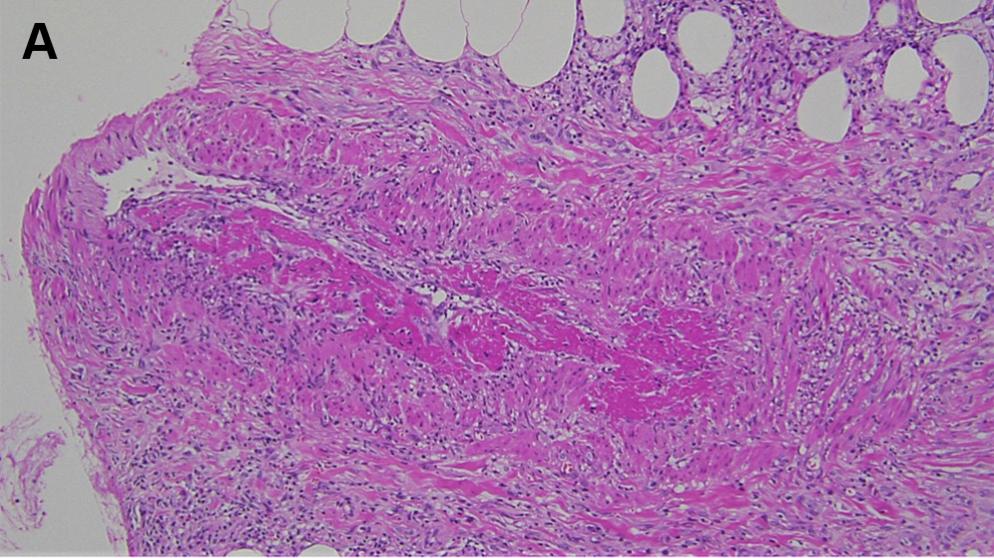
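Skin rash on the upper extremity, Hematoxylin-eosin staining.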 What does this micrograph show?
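Large round empty spaces of fat cells lie along the top, and below them an elongated vessel with a narrow slit-like lumen runs diagonally. The vessel wall holds bands of bright, smooth, deep pink material, and many small dark purple nuclei of inflammatory cells are scattered through the wall and the surrounding pink connective tissue. No compact nodules of pale epithelioid cells are seen.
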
